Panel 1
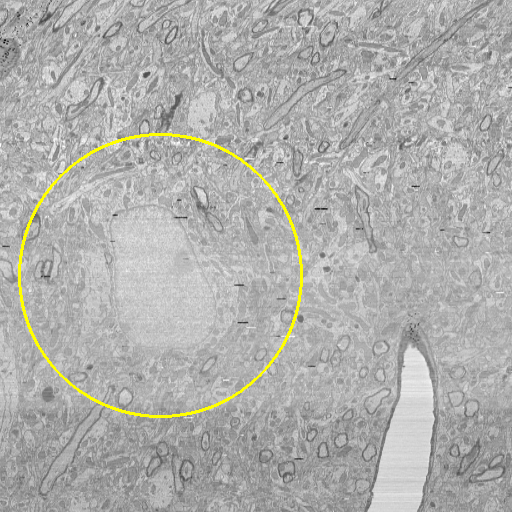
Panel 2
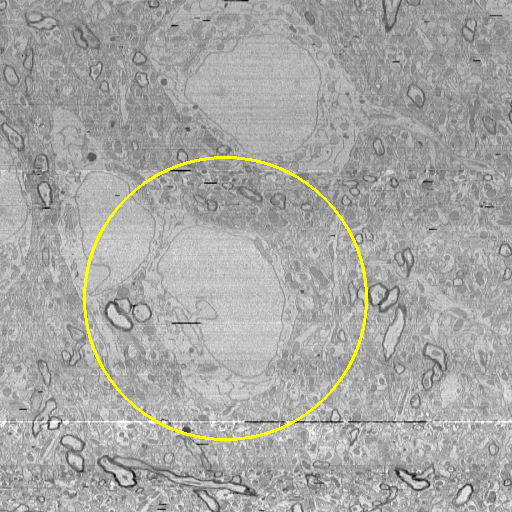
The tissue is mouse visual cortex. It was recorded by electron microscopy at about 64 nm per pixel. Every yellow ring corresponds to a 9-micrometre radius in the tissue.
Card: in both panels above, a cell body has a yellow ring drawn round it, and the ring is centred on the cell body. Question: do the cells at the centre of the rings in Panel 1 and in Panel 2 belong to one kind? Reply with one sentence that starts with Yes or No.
No, the cells centred in the rings of Panel 1 and Panel 2 are two kinds of cell.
